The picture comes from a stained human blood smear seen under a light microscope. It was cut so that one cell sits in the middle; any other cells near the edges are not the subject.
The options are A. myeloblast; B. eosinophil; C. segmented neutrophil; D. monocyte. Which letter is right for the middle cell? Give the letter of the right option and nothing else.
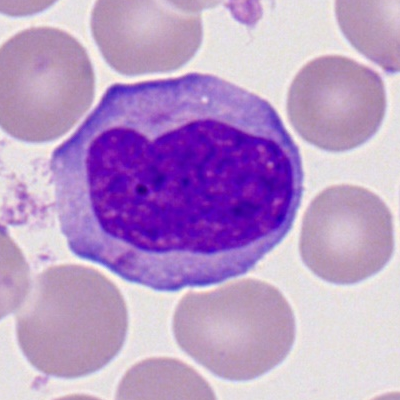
D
